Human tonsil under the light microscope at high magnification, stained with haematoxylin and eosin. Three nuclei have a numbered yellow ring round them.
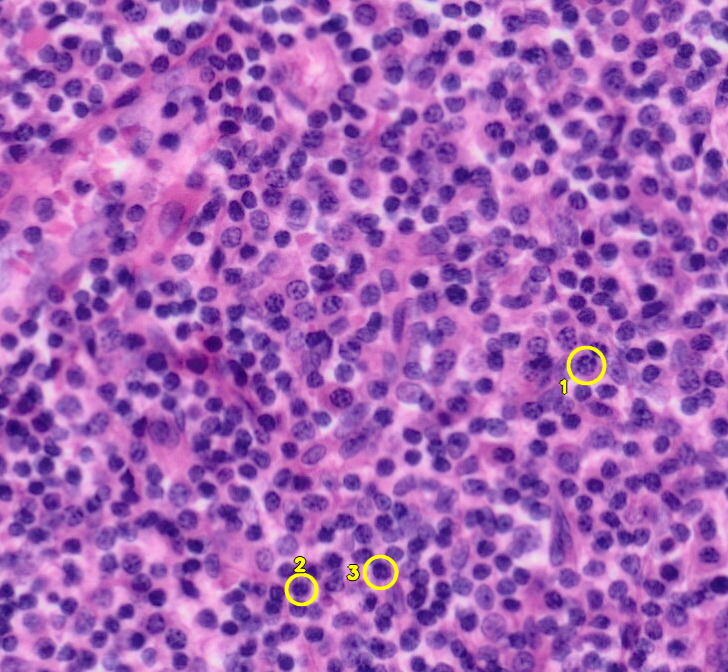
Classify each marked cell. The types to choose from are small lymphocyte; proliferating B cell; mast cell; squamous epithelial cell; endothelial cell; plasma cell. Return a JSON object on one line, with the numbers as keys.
{"1": "plasma cell", "2": "small lymphocyte", "3": "small lymphocyte"}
